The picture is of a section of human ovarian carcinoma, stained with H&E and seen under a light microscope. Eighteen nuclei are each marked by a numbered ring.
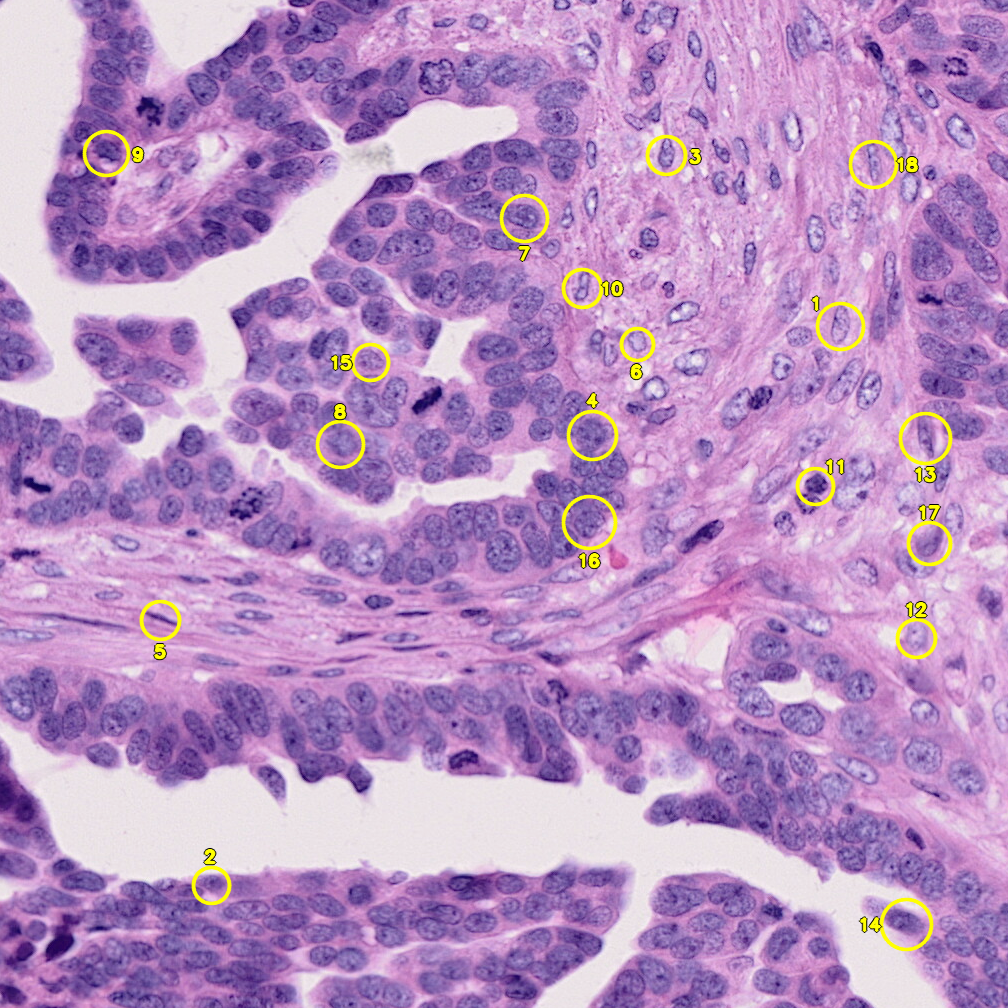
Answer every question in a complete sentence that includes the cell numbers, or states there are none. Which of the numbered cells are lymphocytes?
Cell 11 is the only one of the numbered cells that is a lymphocyte.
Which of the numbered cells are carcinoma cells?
So, the cells with numbers 2, 4, 7, 8, 9, 14, 15 and 16 are carcinoma cells.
